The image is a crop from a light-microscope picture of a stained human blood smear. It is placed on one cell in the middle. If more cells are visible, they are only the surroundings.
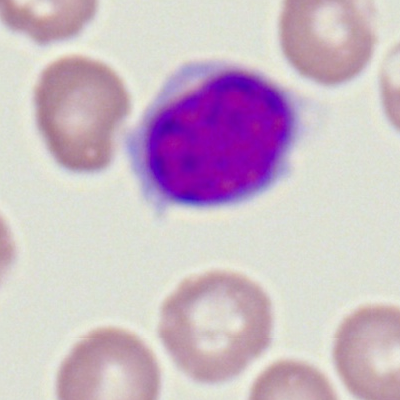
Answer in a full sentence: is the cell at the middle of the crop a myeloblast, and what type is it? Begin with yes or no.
No, the middle one is a lymphocyte rather than a myeloblast.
